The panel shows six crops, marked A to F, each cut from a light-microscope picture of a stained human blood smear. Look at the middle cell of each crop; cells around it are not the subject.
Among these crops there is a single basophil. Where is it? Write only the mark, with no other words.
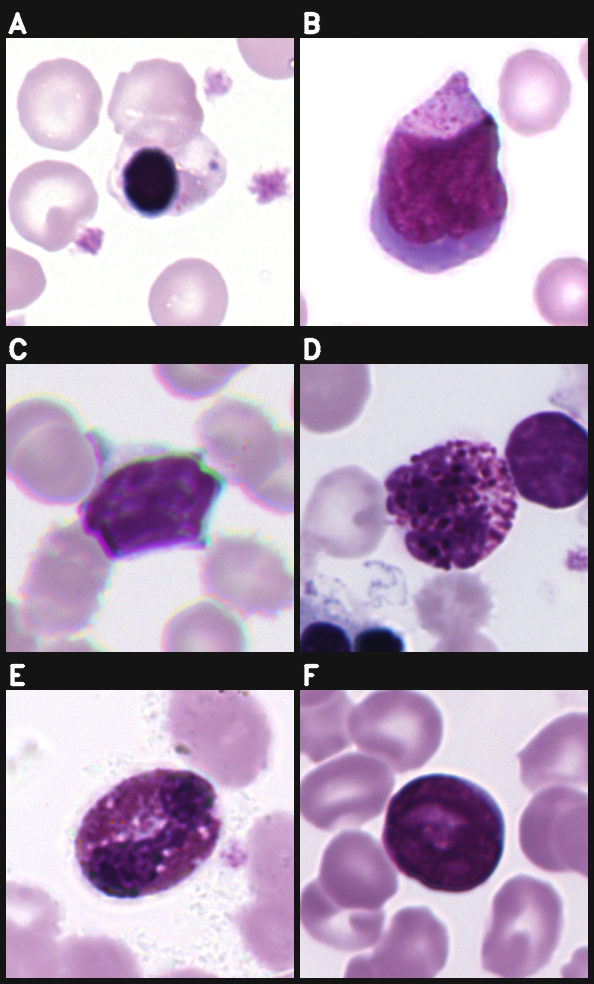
D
